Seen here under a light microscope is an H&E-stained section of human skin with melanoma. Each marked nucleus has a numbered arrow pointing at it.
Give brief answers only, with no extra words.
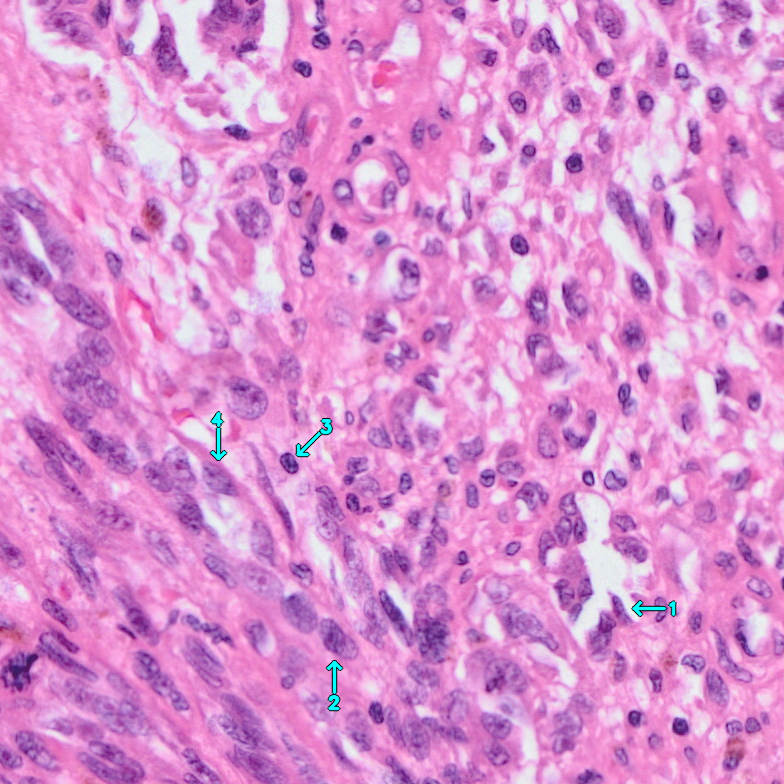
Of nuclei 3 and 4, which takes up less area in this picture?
3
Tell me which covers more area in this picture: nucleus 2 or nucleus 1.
2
